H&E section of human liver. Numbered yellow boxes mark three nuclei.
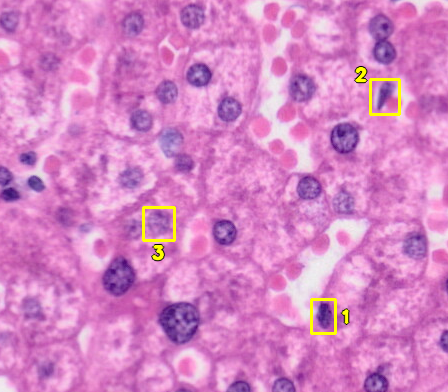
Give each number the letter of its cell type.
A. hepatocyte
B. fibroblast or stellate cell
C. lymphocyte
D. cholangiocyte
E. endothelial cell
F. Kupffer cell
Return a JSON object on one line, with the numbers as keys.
{"1": "B", "2": "E", "3": "A"}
